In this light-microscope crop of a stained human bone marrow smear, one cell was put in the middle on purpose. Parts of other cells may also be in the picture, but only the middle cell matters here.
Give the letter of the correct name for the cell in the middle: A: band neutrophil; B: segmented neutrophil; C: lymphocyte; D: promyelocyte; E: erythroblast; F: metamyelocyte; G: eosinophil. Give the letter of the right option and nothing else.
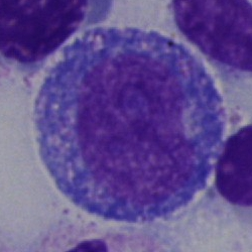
D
